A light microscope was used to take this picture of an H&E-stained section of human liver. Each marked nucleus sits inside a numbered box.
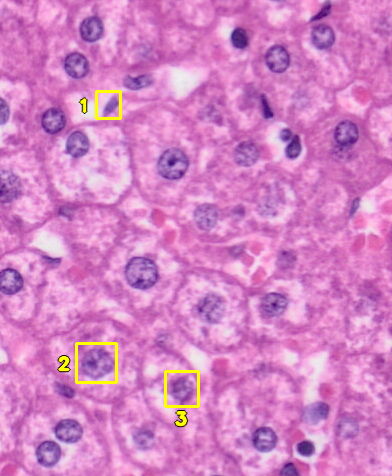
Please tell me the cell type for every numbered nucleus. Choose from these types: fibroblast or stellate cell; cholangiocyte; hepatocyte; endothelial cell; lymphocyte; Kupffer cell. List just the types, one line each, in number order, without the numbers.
lymphocyte
hepatocyte
hepatocyte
